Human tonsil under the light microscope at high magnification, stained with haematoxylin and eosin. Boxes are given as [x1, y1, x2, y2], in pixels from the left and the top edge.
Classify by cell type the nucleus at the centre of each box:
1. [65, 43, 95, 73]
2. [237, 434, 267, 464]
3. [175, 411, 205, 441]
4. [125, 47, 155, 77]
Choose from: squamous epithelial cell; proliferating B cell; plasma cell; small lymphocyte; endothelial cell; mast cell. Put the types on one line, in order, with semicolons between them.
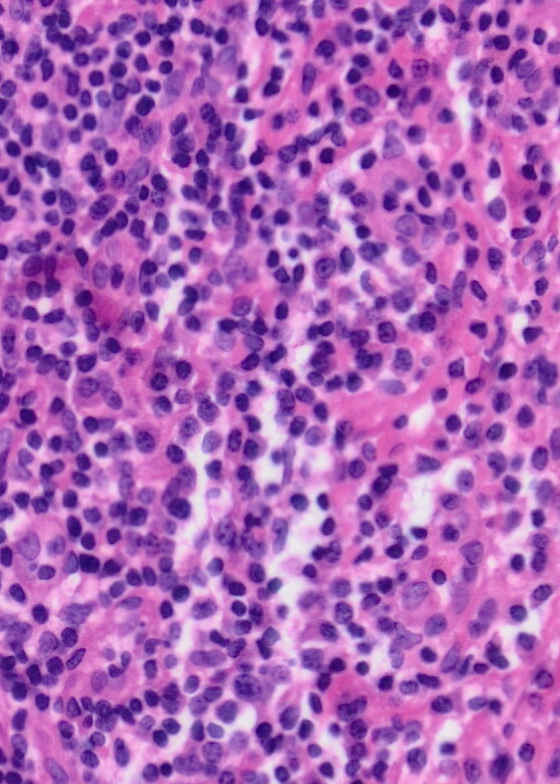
small lymphocyte; plasma cell; plasma cell; small lymphocyte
